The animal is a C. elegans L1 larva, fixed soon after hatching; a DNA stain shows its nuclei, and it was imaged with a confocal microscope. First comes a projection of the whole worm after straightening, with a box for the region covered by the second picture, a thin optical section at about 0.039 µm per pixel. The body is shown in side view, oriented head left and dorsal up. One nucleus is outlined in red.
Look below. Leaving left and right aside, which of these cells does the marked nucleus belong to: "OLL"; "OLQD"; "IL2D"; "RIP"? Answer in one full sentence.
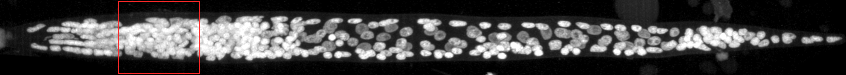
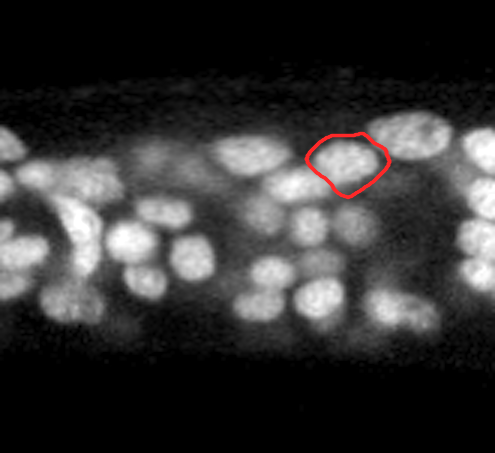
The cell whose nucleus is marked is OLQD, a neuron.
